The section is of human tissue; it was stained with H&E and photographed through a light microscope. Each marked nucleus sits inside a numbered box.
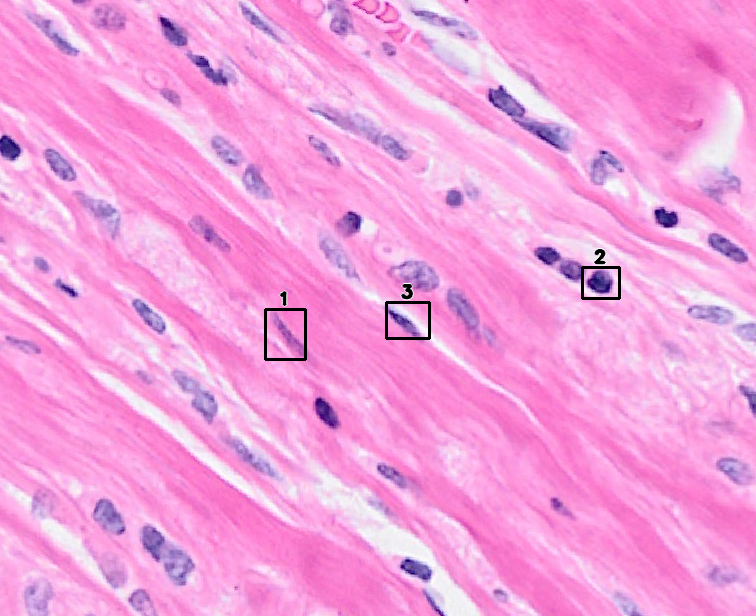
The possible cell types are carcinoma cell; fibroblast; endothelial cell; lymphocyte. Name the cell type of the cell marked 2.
lymphocyte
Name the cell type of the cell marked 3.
fibroblast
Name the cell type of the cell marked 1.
fibroblast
